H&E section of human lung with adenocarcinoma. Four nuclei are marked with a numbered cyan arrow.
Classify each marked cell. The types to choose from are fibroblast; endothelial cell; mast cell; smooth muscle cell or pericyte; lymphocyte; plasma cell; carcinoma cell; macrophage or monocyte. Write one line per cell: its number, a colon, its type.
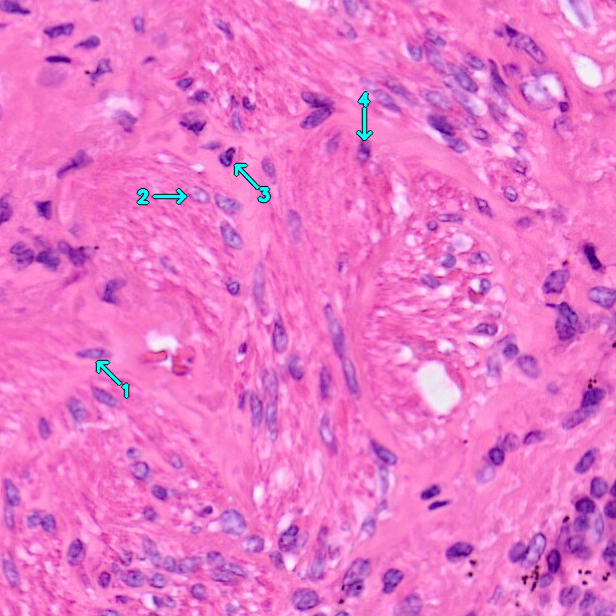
1: smooth muscle cell or pericyte
2: smooth muscle cell or pericyte
3: mast cell
4: smooth muscle cell or pericyte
